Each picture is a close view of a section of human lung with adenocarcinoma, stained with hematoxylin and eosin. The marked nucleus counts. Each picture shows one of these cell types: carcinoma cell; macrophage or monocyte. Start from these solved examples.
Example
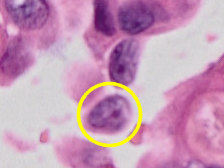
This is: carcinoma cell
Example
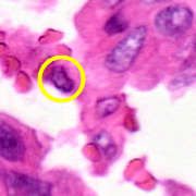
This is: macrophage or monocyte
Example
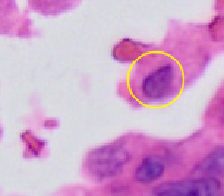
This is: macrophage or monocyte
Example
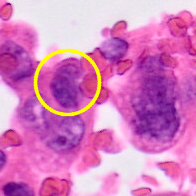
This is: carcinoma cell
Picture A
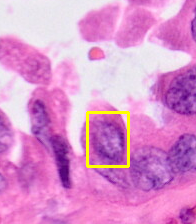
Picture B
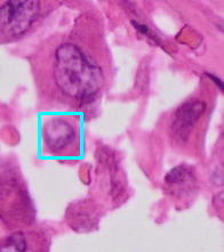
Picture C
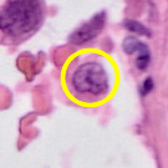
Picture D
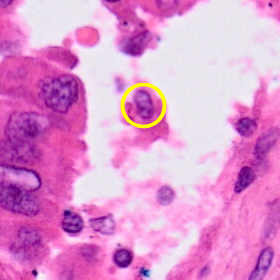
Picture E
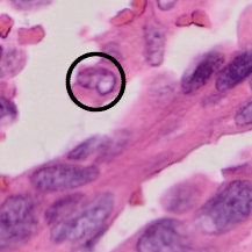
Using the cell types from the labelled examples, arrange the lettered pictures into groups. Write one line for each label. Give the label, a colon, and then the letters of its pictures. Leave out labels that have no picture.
carcinoma cell: A
macrophage or monocyte: B, C, D, E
